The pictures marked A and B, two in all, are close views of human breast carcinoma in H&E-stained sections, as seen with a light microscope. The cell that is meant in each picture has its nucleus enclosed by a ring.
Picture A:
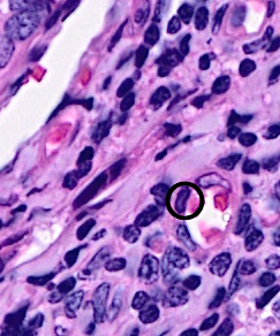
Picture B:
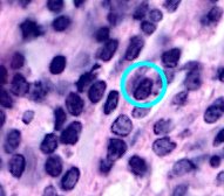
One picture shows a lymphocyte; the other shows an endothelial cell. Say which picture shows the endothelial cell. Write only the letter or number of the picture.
A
